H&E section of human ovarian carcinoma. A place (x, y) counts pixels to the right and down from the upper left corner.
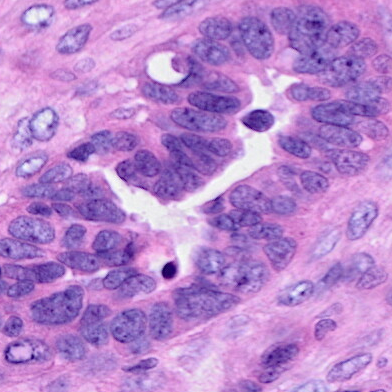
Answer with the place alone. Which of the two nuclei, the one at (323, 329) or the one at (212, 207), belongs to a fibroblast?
(323, 329)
